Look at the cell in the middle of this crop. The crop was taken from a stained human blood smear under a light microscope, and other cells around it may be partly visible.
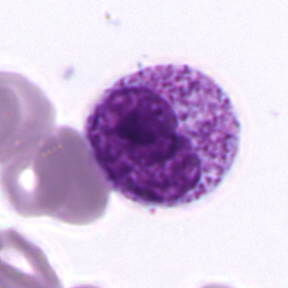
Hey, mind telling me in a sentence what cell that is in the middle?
The central cell shown in this smear crop is a metamyelocyte.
